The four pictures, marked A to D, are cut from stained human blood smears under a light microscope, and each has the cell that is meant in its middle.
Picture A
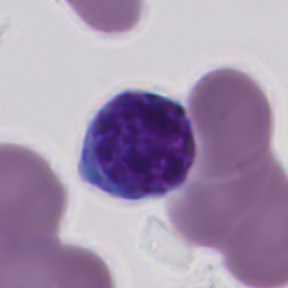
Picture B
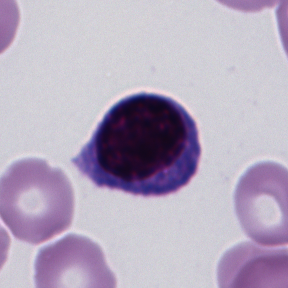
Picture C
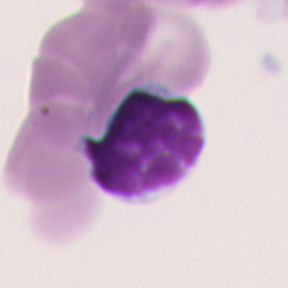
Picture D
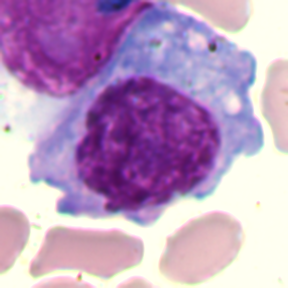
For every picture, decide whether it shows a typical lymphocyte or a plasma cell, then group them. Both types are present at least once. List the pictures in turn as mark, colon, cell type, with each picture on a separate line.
A: plasma cell
B: typical lymphocyte
C: typical lymphocyte
D: plasma cell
